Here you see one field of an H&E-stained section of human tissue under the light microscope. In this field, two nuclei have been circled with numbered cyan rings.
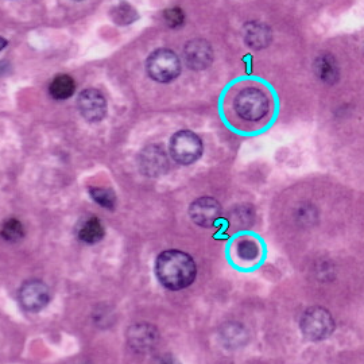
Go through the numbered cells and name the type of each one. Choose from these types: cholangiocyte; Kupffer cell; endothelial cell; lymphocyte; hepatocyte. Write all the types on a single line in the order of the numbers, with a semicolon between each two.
hepatocyte; lymphocyte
